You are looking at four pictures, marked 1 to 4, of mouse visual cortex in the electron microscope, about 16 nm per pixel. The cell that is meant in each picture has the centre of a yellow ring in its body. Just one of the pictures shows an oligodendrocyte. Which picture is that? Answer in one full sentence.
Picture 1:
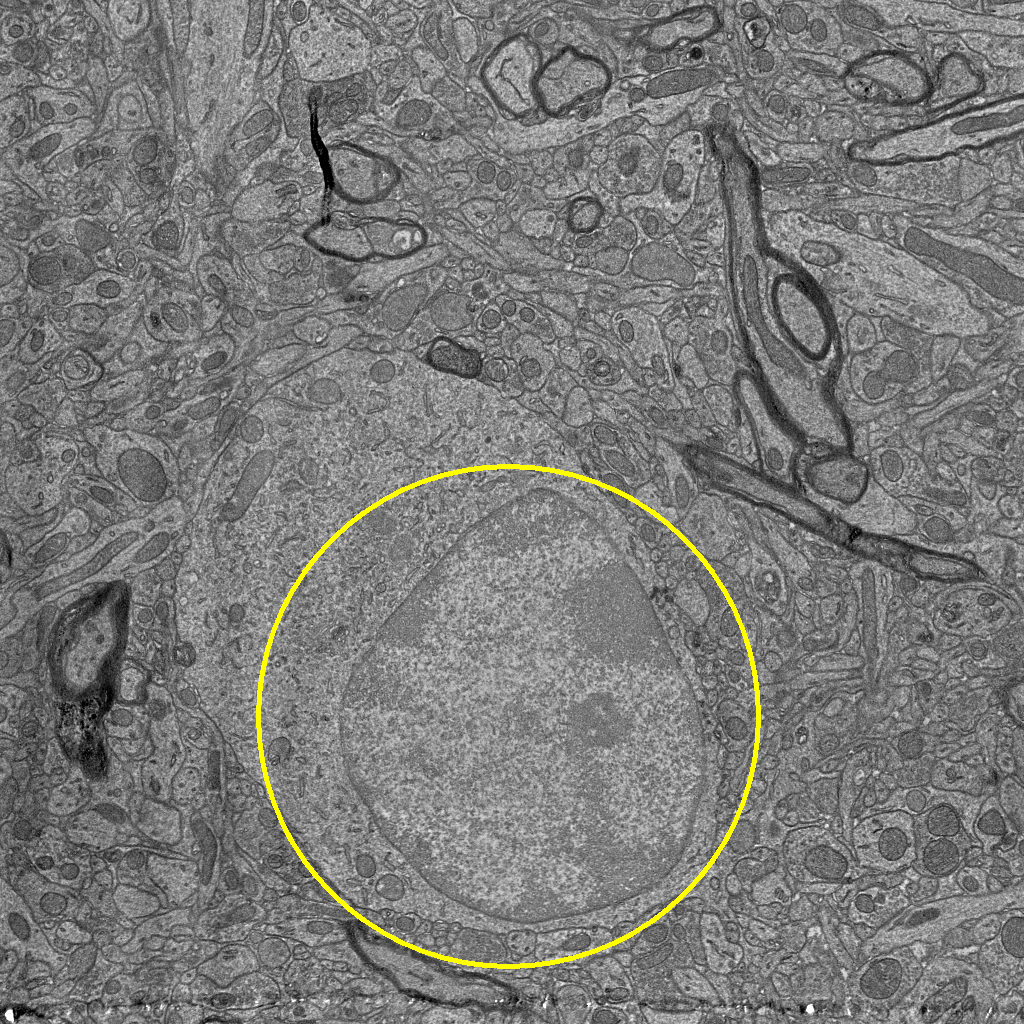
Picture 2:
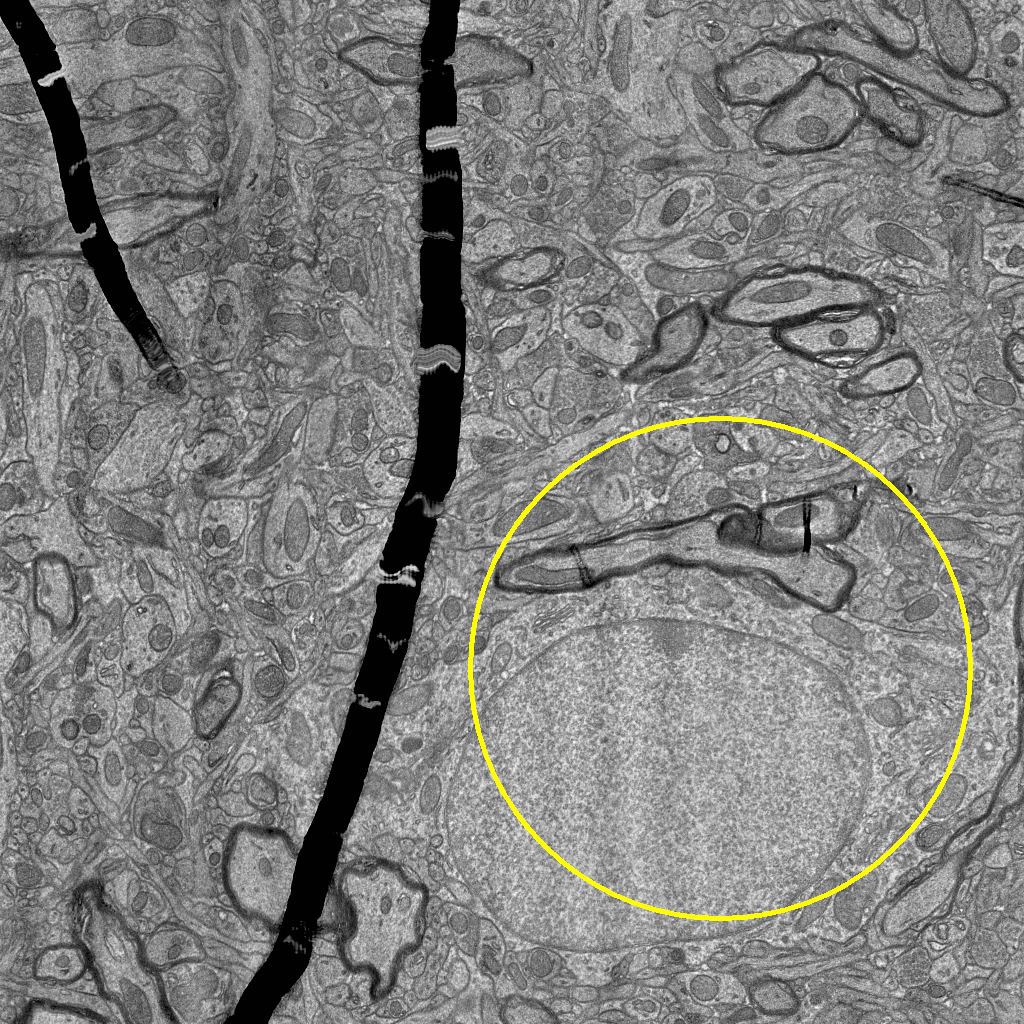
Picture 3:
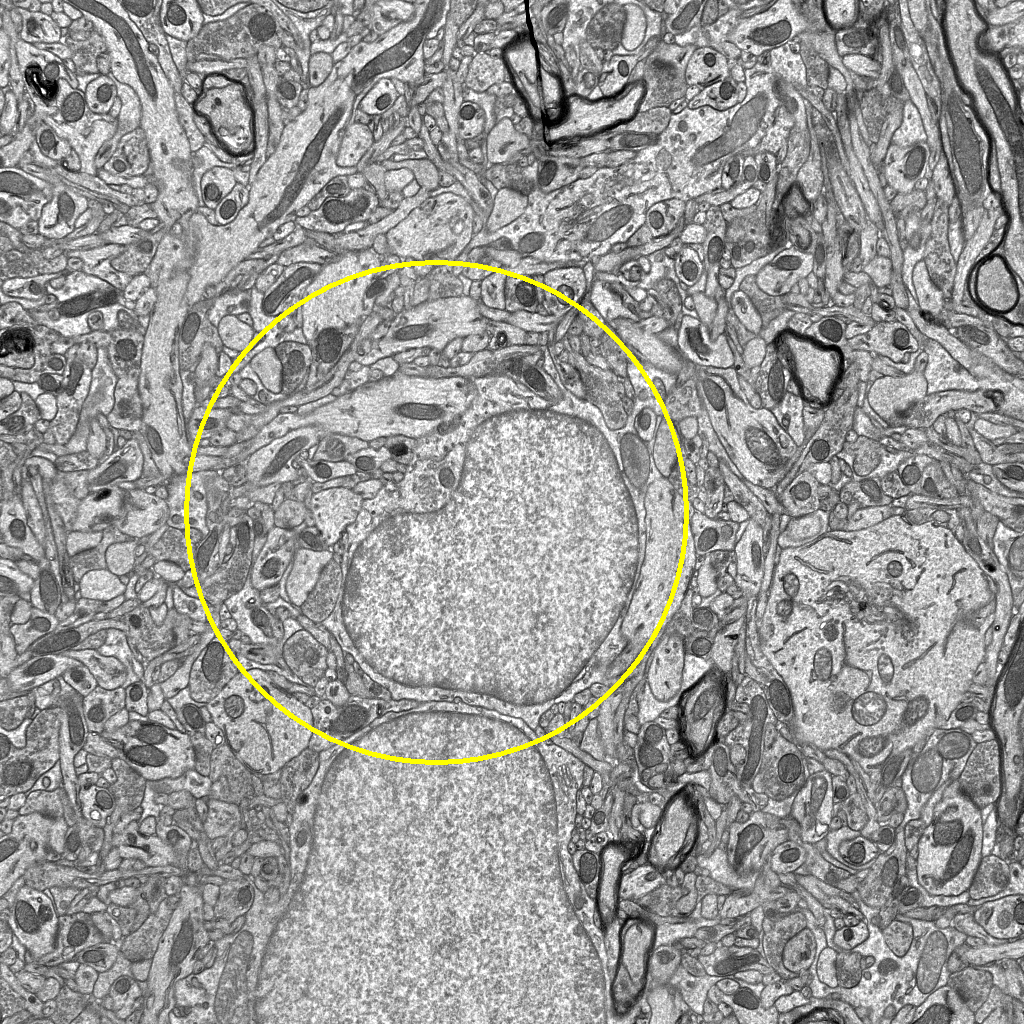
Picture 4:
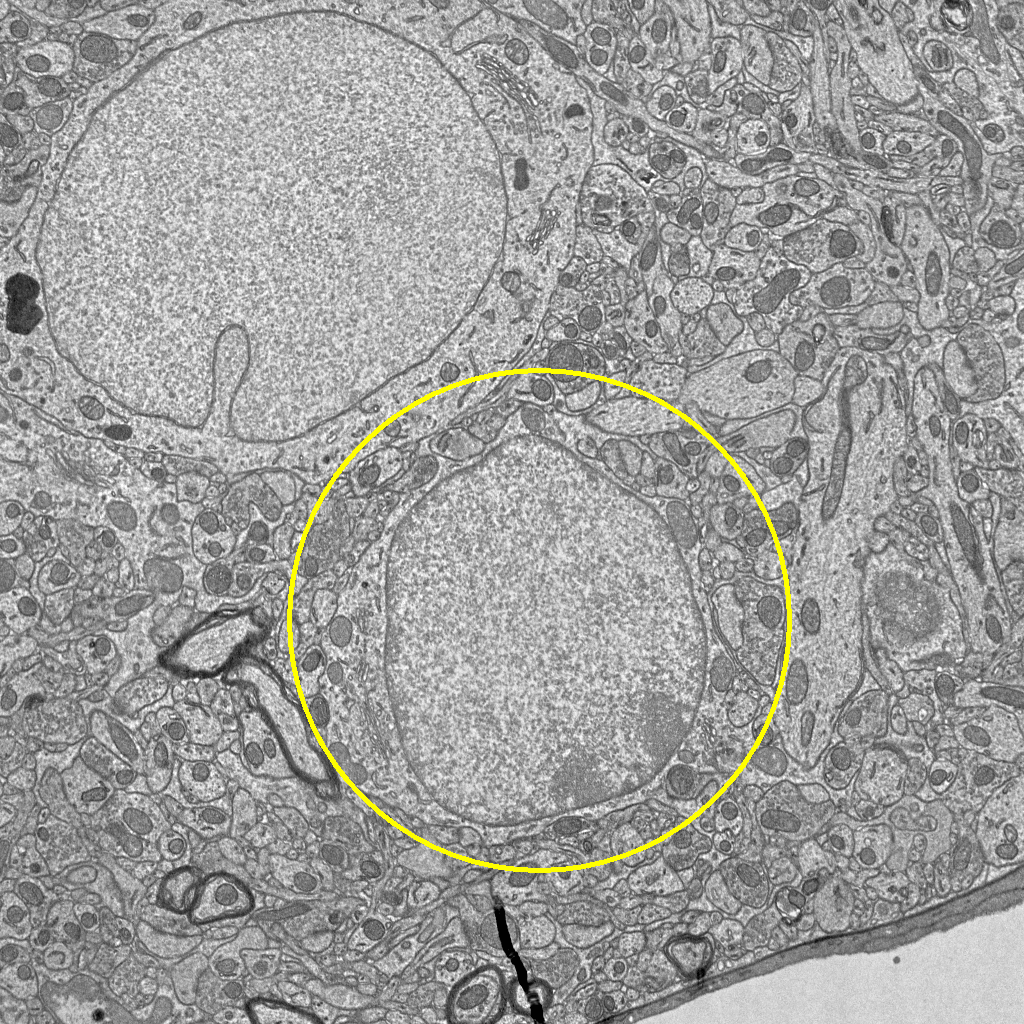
The picture with the oligodendrocyte is 1.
